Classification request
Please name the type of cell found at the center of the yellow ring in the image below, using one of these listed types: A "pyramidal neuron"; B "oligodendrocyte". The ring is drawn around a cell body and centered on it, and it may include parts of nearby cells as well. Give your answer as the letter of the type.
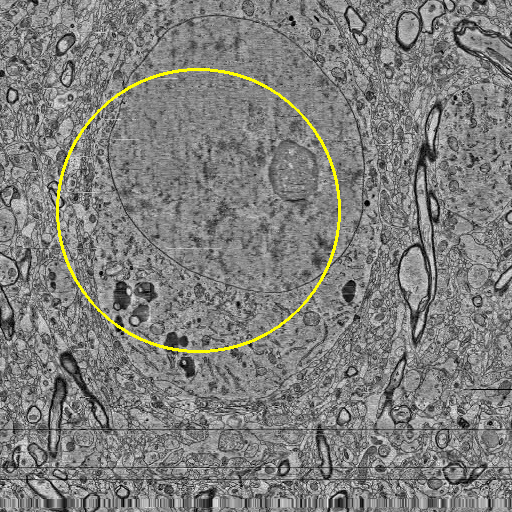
A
